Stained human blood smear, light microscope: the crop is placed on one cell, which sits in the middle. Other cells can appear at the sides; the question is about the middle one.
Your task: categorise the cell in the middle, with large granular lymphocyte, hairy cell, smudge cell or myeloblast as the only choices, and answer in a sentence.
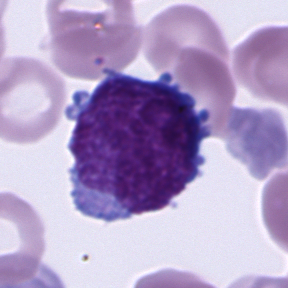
The cell of interest, located centrally, is a myeloblast.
